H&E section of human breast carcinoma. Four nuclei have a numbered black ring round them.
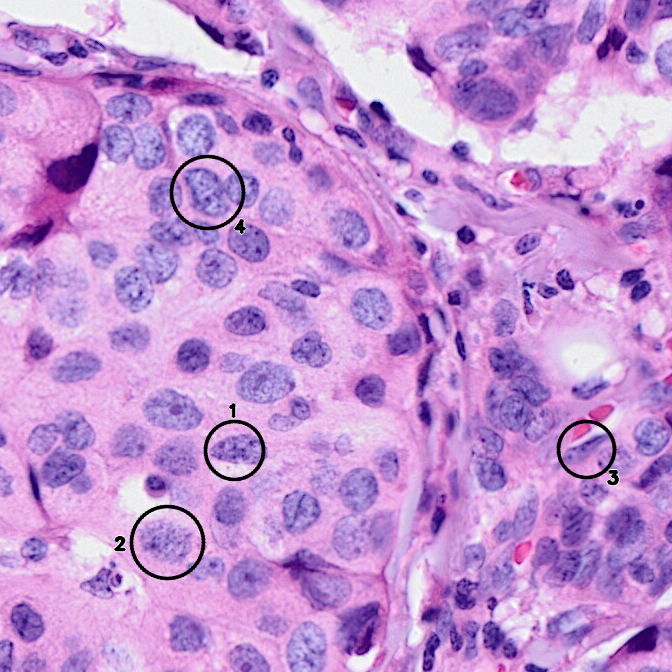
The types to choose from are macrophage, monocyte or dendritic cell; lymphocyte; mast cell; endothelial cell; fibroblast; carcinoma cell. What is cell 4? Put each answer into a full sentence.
That cell with number 4 is a carcinoma cell.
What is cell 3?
The nucleus with number 3 is that of an endothelial cell.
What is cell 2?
Number 2 among the marked cells is a carcinoma cell.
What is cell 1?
The cell identified by number 1 is a carcinoma cell.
